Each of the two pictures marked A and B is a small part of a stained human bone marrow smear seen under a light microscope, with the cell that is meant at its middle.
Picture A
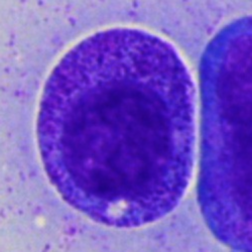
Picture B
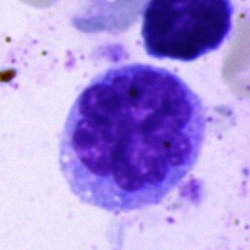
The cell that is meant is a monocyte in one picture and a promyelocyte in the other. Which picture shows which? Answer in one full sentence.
It is picture A that shows a promyelocyte, and picture B that shows a monocyte.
